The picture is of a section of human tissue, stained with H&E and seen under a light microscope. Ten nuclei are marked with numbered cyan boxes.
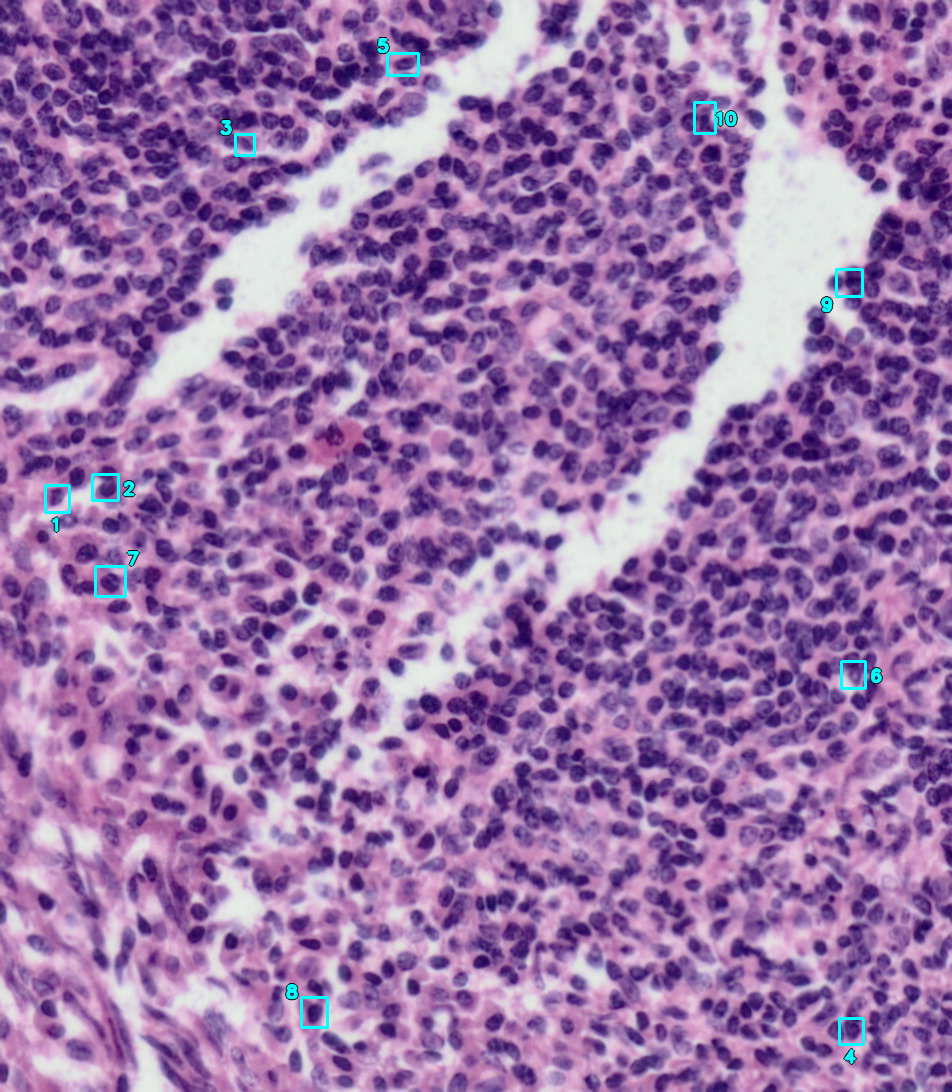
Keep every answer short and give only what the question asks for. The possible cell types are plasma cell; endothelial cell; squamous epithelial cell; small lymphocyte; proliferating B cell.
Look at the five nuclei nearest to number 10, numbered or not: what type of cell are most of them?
small lymphocyte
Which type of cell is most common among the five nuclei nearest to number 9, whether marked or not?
small lymphocyte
